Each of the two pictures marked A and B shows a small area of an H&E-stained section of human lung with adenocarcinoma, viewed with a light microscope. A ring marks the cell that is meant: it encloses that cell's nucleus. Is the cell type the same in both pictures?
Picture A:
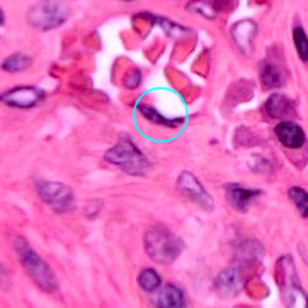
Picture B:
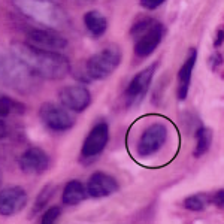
no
